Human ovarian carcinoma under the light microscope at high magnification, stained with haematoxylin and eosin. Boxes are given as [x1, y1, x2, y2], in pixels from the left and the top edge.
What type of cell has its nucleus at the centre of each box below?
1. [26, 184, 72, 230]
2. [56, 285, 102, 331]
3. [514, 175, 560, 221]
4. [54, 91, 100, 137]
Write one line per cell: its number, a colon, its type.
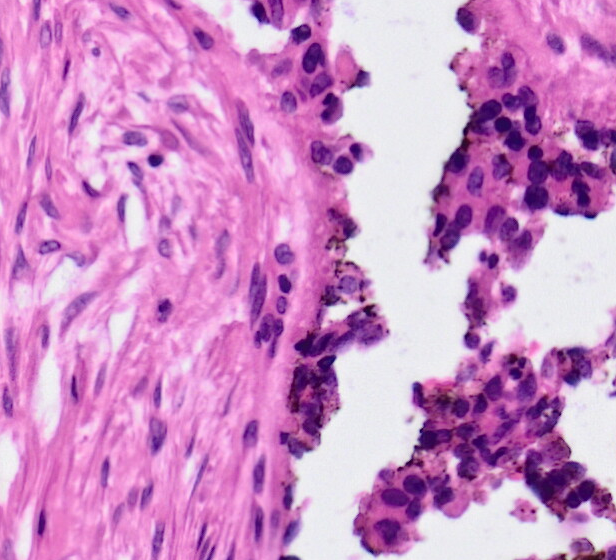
1: fibroblast
2: fibroblast
3: carcinoma cell
4: fibroblast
